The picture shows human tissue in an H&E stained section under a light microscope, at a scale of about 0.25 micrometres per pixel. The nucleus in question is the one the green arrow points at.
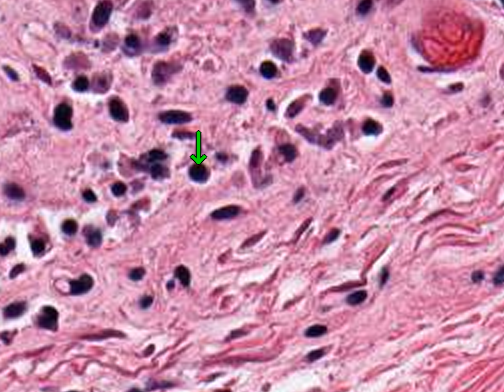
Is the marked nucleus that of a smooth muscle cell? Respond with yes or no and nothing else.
no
